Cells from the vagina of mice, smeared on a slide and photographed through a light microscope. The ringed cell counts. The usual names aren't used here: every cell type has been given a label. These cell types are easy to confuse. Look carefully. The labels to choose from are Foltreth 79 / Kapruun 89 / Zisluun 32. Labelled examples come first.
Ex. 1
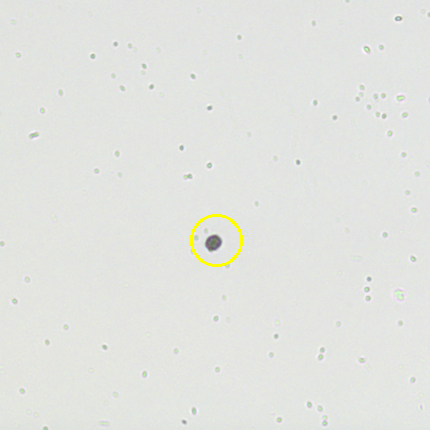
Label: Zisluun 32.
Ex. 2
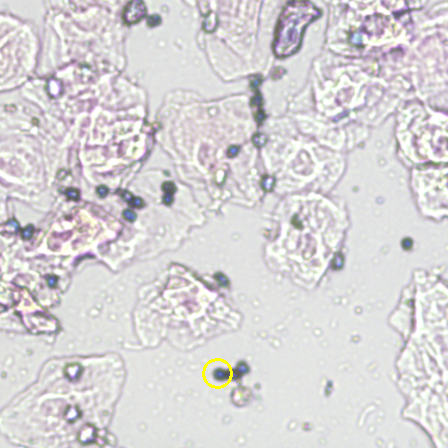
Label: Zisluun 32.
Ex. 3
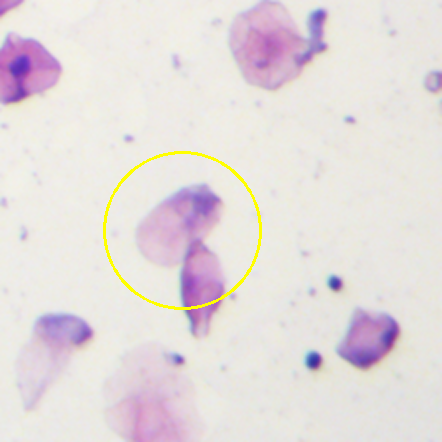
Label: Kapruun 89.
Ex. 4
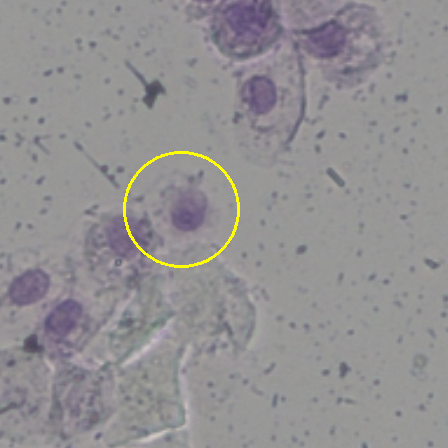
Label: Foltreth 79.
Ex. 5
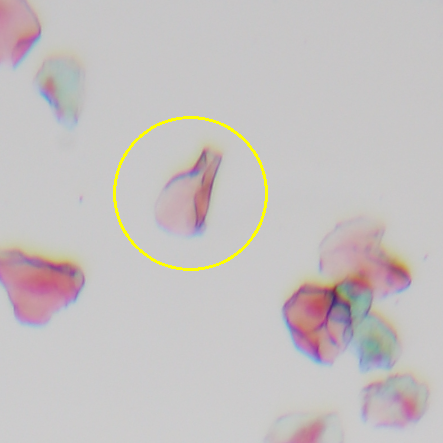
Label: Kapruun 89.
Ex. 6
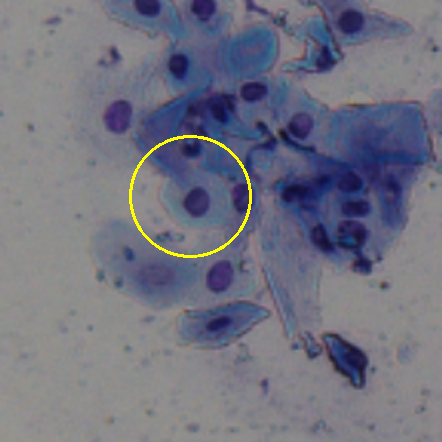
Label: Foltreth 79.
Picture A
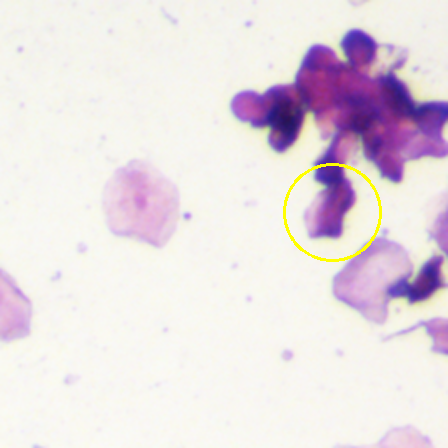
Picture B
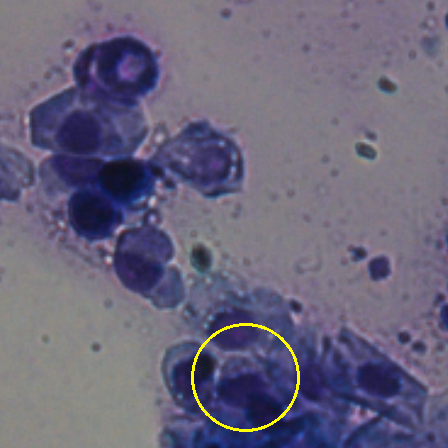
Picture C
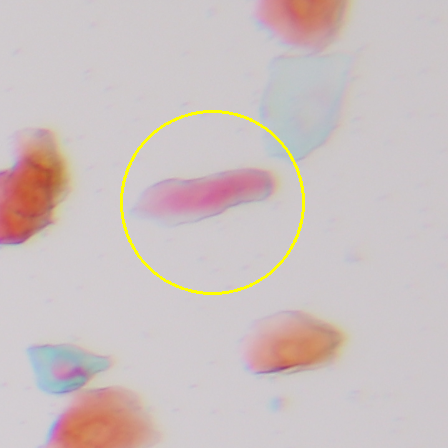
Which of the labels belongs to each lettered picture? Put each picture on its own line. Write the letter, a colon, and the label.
A: Kapruun 89.
B: Foltreth 79.
C: Kapruun 89.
